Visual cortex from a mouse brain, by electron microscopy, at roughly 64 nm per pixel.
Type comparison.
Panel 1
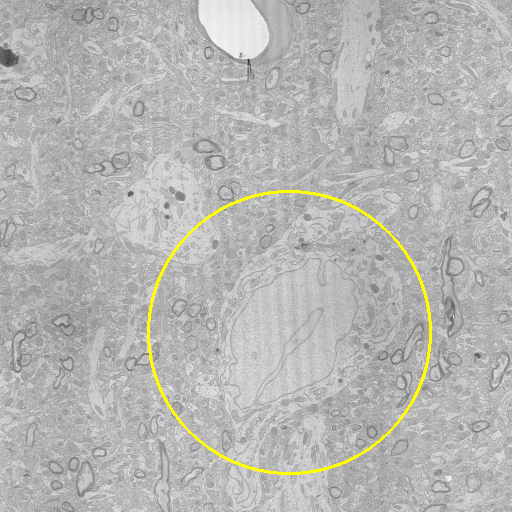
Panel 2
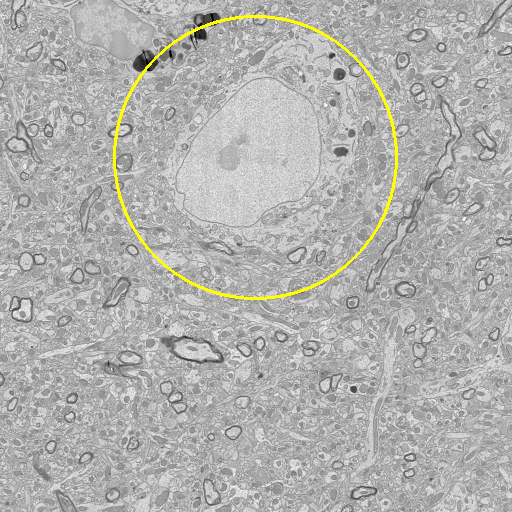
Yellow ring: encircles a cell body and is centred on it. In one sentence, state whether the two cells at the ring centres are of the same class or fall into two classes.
In these panels, the two cells at the ring centres fall into two classes.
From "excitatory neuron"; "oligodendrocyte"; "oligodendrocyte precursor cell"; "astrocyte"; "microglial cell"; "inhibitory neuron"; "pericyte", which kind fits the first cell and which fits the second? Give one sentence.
The cell marked in the first picture is an inhibitory neuron, and the one marked in the second is an excitatory neuron.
